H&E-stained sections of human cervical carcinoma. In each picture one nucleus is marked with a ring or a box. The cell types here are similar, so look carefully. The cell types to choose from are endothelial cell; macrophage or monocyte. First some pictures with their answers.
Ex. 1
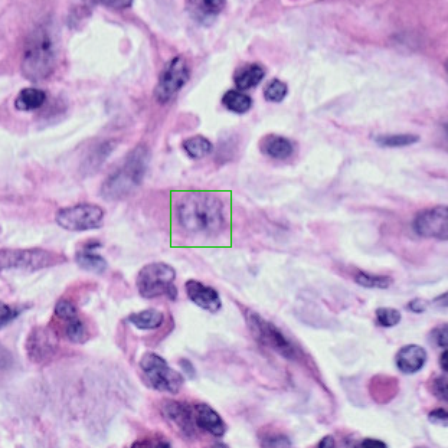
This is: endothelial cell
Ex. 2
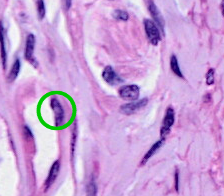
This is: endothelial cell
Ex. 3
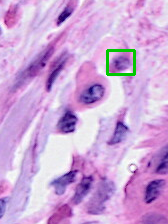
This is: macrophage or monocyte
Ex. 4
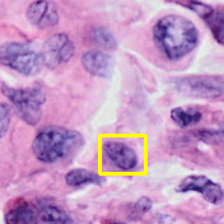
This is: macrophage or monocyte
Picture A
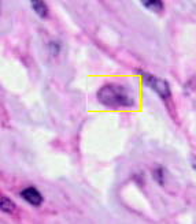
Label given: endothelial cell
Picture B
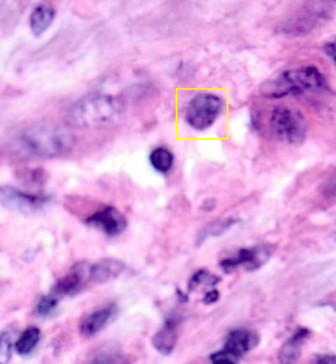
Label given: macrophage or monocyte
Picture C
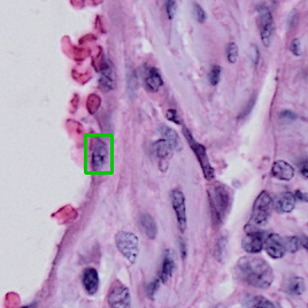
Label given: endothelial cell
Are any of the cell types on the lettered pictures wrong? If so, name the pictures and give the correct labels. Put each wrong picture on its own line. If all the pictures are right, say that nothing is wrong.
A is labelled endothelial cell; correct label: macrophage or monocyte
